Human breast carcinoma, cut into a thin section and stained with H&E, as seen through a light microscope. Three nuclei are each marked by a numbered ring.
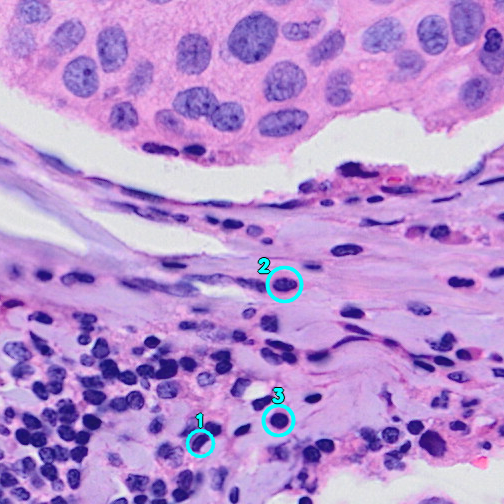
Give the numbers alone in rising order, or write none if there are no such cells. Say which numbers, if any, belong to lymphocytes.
1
